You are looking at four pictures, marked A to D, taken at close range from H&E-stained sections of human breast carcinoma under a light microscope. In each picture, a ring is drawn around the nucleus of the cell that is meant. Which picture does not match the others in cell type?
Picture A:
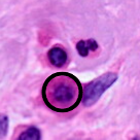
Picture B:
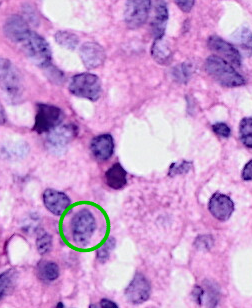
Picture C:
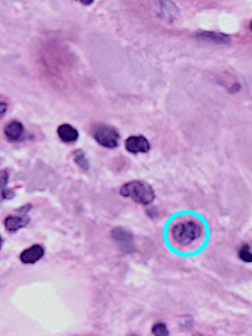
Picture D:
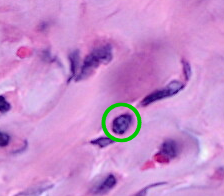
B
